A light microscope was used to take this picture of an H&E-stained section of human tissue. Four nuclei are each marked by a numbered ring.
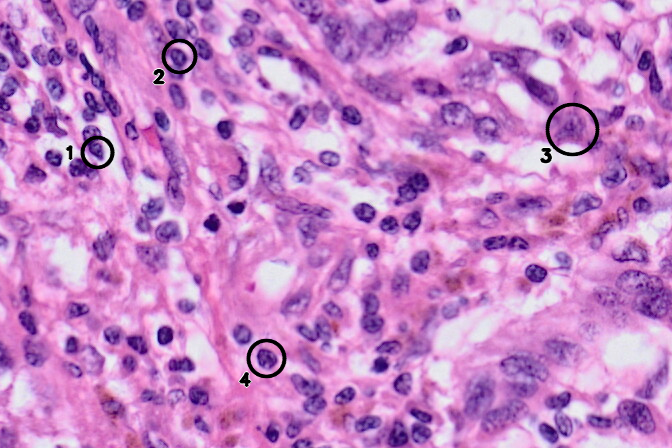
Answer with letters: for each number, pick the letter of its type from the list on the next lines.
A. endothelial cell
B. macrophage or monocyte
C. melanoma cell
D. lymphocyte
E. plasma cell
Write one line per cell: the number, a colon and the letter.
1: D
2: D
3: C
4: D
